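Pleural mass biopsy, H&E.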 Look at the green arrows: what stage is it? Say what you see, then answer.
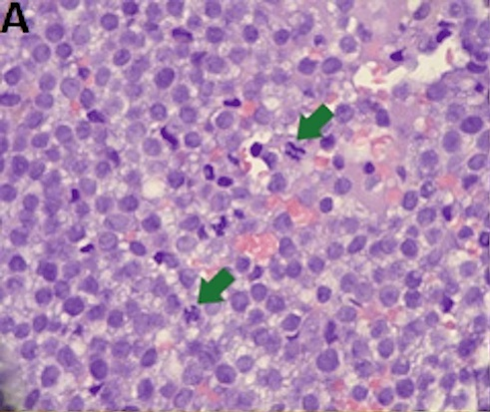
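The arrowed cells show dark, condensed, irregular chromatin clumps instead of a round nucleus. The surrounding cells have round, evenly stained nuclei.
Hence: mitosis.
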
